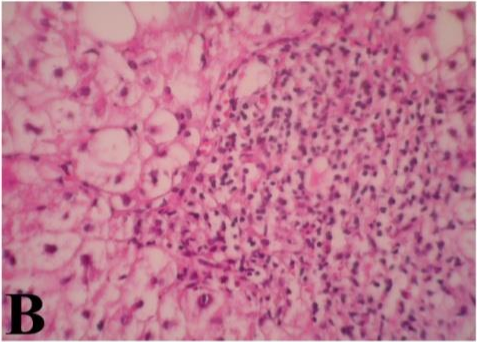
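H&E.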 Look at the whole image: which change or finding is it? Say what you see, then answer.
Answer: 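Hepatocytes are swollen with pale, clear, vacuolated cytoplasm. A large area of hepatocytes is replaced by densely packed small dark nuclei.
Conclusion: hepatocyte degeneration and necrosis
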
